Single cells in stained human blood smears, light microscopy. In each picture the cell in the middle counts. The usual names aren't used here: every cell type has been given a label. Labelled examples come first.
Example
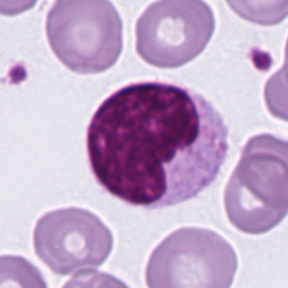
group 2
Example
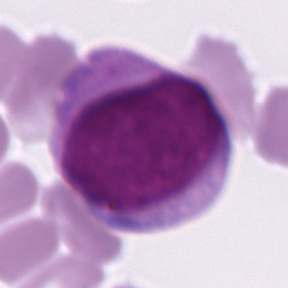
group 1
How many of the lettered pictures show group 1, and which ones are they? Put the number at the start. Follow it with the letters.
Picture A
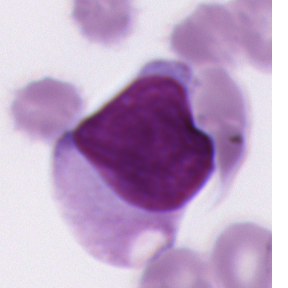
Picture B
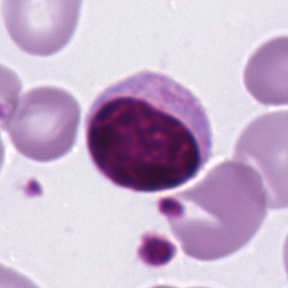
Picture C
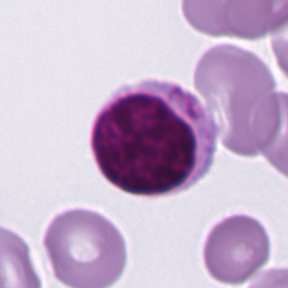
1, namely A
